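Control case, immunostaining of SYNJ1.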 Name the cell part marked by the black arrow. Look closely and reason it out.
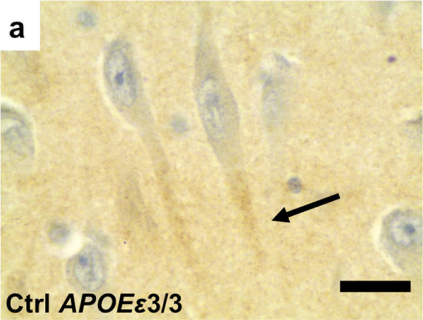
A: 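The arrow points to a thin, long process running from a cell body. The process is faintly brown. The answer: dendrites.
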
